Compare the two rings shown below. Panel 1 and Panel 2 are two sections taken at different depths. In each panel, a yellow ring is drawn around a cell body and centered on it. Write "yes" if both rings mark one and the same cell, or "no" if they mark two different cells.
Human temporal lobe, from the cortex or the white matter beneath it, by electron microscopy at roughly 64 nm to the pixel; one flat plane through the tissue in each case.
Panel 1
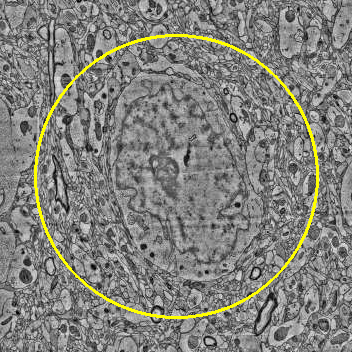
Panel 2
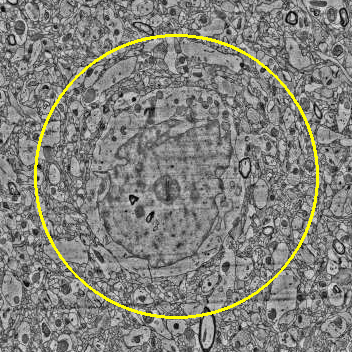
no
